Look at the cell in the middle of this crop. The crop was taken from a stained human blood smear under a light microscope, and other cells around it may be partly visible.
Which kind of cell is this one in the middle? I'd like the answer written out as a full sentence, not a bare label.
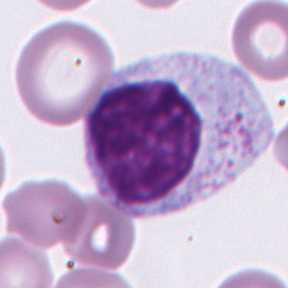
The cell at the centre of the field is a myelocyte.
